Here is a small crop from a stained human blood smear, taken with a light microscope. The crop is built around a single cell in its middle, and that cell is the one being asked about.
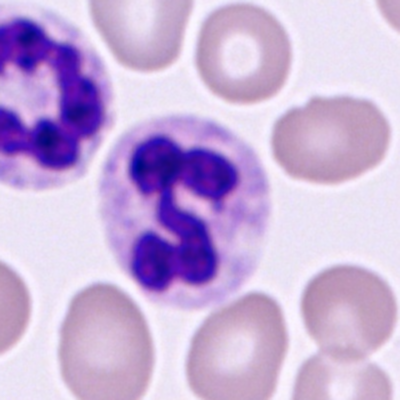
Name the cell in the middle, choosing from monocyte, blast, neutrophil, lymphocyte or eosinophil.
neutrophil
